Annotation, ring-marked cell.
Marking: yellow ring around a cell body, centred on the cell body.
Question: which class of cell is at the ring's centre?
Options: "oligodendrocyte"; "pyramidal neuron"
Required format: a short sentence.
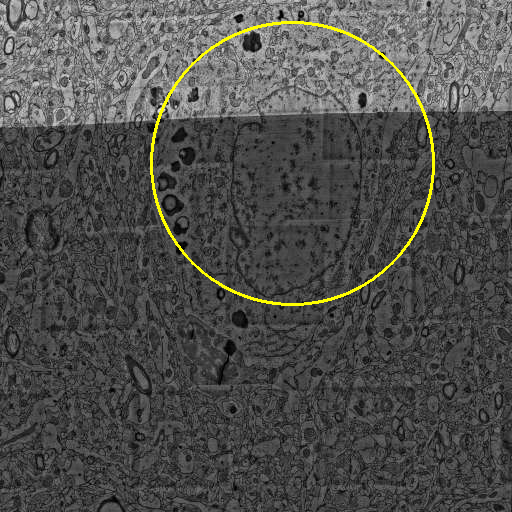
At the ring's centre is a pyramidal neuron.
